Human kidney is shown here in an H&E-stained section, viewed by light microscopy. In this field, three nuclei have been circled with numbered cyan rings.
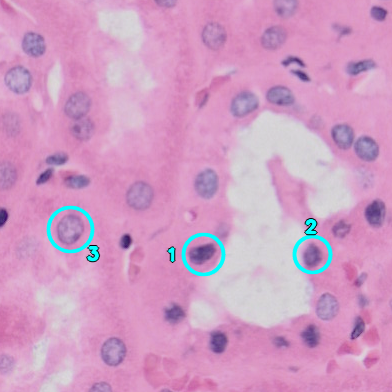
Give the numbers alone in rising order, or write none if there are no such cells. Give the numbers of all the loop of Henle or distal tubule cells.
1, 2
